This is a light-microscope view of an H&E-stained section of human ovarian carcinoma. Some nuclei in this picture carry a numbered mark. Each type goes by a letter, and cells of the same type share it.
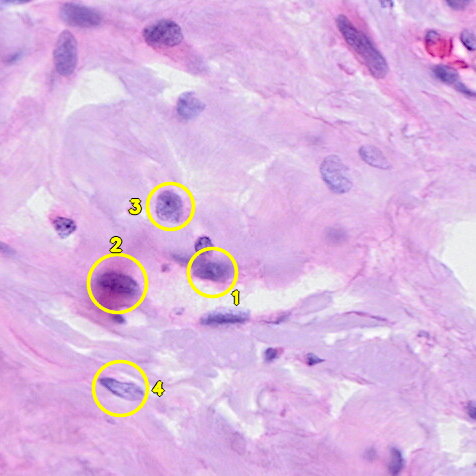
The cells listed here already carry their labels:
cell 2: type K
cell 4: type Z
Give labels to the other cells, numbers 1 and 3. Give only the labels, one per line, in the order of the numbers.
type K
type Z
